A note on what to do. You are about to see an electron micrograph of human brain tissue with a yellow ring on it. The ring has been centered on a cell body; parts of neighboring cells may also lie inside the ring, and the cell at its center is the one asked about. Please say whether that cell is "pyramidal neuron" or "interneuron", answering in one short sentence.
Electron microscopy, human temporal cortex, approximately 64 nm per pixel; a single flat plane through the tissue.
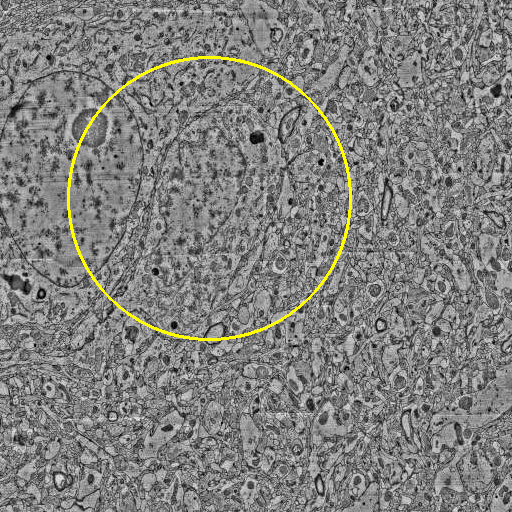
The yellow ring sits on an interneuron.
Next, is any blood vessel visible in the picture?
No.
